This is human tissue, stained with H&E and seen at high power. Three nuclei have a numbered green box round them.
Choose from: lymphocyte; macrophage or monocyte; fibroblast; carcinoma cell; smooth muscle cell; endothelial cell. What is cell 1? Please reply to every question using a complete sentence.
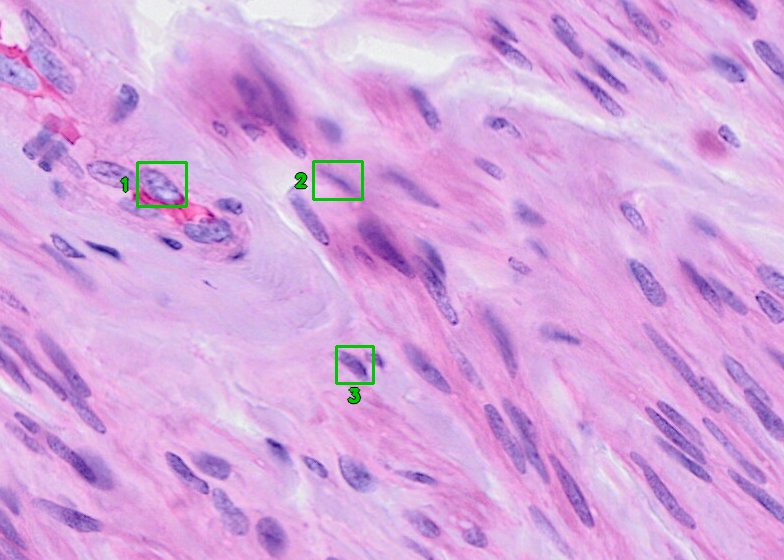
The cell tagged with 1 in this tissue section is an endothelial cell.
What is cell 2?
The cell tagged with 2 in this tissue section is a smooth muscle cell.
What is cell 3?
The marked cell with the number 3 is recognised as a smooth muscle cell.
